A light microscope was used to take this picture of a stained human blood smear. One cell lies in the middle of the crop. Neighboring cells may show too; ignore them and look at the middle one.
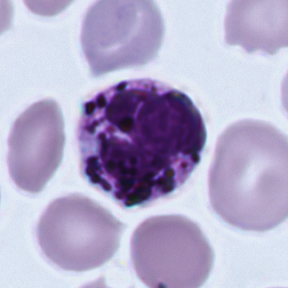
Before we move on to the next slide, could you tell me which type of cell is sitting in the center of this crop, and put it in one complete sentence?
In this crop, the cell at the very middle is a basophil.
